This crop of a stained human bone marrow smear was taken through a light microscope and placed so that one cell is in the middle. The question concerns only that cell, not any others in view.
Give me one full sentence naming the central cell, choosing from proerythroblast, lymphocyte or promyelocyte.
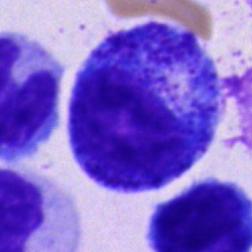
For this crop, the cell in the middle is a promyelocyte.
